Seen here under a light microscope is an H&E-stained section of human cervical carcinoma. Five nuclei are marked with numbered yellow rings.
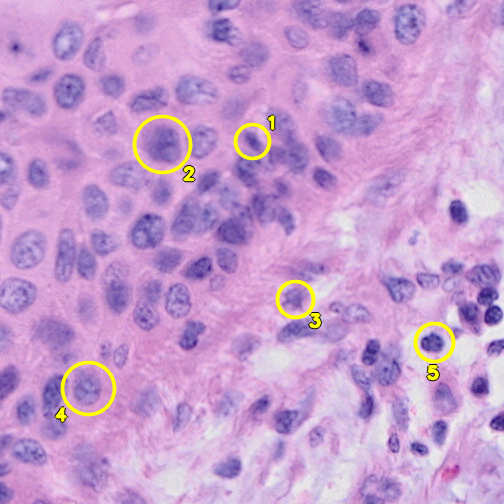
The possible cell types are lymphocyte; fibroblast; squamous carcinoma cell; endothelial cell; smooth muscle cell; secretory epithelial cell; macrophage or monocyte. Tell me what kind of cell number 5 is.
lymphocyte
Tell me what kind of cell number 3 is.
macrophage or monocyte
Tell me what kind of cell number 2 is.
squamous carcinoma cell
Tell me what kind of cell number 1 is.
squamous carcinoma cell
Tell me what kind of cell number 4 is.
squamous carcinoma cell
